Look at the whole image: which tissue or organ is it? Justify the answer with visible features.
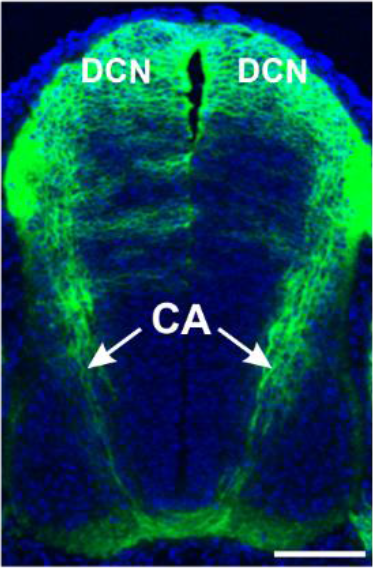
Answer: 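A bilaterally symmetric tube of tissue cut in cross-section. A narrow slit-like central lumen along the midline. Blue nuclei densely packed around the lumen with fibre tracts at the edges. That points to this answer: spinal cord.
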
